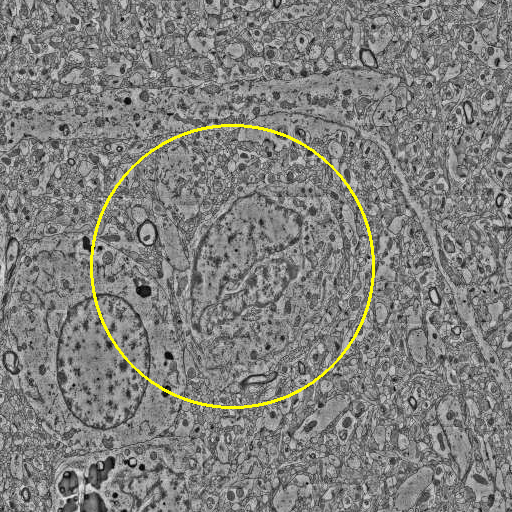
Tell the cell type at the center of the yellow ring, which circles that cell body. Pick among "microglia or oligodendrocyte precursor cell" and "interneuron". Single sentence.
The ring is centered on the body of an interneuron.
